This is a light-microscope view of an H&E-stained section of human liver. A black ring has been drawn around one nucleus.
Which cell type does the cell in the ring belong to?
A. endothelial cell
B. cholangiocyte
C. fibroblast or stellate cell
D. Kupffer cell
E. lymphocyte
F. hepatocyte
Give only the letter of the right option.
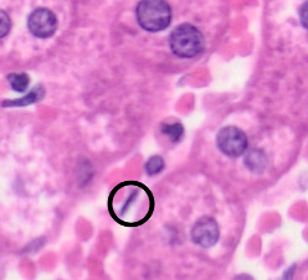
A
